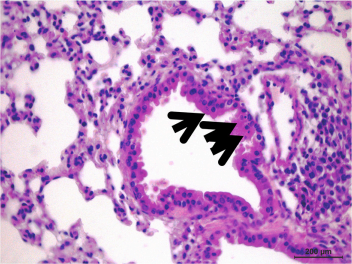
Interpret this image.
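Lung tissue with a small airway lined by a crowded epithelium of cells with dark purple nuclei, surrounded by thin-walled alveolar spaces. To the right of the airway the tissue is densely packed with small cells with dark round nuclei.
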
